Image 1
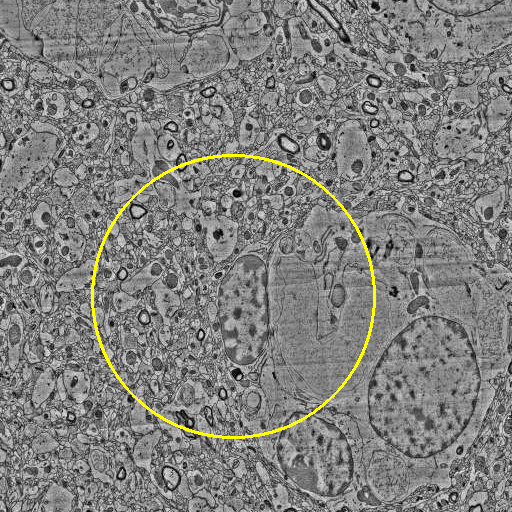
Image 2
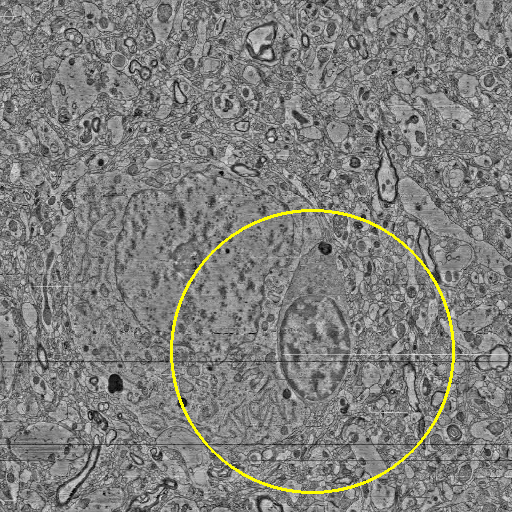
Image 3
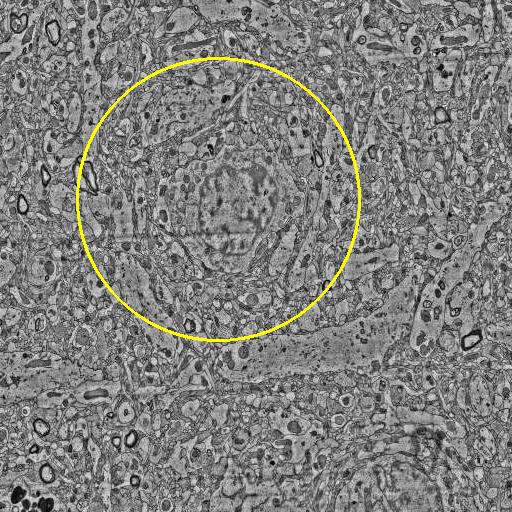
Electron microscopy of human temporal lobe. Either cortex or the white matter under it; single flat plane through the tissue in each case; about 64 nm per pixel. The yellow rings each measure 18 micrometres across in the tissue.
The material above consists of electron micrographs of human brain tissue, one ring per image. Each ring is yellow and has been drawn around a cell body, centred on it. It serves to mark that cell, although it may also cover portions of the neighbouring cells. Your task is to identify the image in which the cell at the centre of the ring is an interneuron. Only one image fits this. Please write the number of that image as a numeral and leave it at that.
3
